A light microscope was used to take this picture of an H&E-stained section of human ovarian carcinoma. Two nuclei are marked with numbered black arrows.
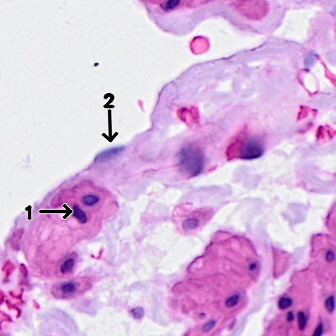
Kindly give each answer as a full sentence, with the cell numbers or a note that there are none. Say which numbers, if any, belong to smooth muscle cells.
Among the numbered cells, cell 1 alone is a smooth muscle cell.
